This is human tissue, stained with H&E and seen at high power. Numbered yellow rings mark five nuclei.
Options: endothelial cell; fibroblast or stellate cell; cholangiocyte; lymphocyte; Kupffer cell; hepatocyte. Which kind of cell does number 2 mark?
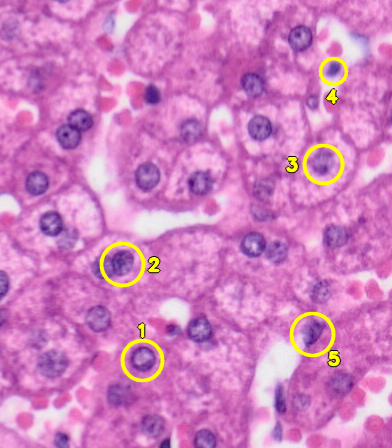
hepatocyte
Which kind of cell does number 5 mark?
endothelial cell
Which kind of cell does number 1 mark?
hepatocyte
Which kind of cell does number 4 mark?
lymphocyte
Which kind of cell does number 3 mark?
hepatocyte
